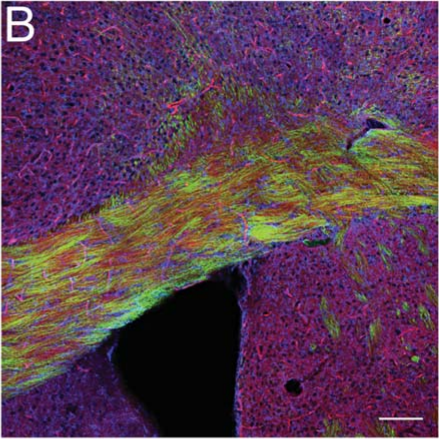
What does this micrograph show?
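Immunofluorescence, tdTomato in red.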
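A low-power view of forebrain shows the corpus callosum as a broad diagonal band of densely aligned fibres, with the cerebral cortex above it and the striatum below, next to a dark ventricular space. Red outlines blood vessels and the surrounding tissue, and small blue dots mark scattered cells throughout.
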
